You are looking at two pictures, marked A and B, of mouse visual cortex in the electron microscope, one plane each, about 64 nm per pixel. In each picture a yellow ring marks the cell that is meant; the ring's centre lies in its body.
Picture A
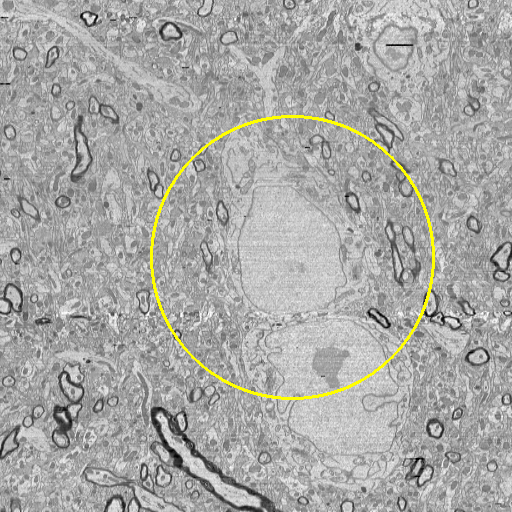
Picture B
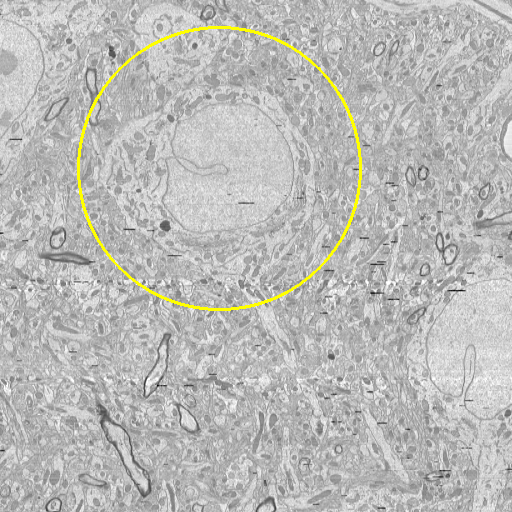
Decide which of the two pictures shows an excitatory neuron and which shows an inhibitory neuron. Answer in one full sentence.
Picture A shows an excitatory neuron and picture B shows an inhibitory neuron.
